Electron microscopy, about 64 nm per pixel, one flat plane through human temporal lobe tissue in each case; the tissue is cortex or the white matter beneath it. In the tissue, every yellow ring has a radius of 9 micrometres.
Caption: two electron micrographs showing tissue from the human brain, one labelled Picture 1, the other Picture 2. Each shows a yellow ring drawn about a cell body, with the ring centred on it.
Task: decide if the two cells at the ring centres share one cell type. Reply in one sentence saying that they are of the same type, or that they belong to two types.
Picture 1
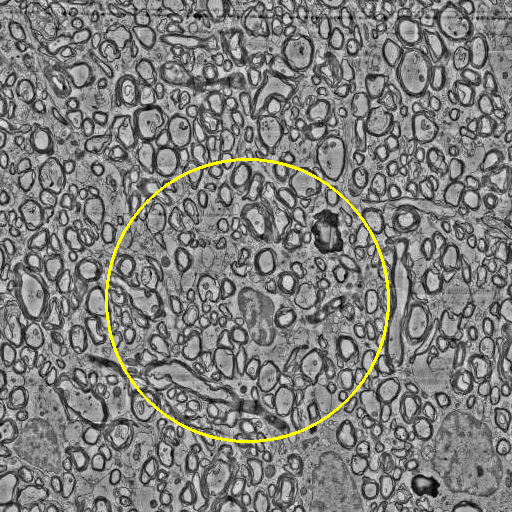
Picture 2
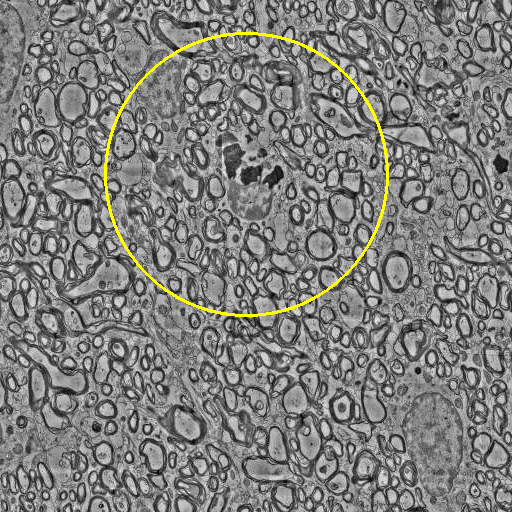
The cells at the ring centres in Picture 1 and Picture 2 are of the same type.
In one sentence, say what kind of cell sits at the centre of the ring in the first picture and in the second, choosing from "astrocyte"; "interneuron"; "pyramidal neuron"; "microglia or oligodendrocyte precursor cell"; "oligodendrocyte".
In the first picture and in the second, the ring is centred on a microglial cell or oligodendrocyte precursor cell.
